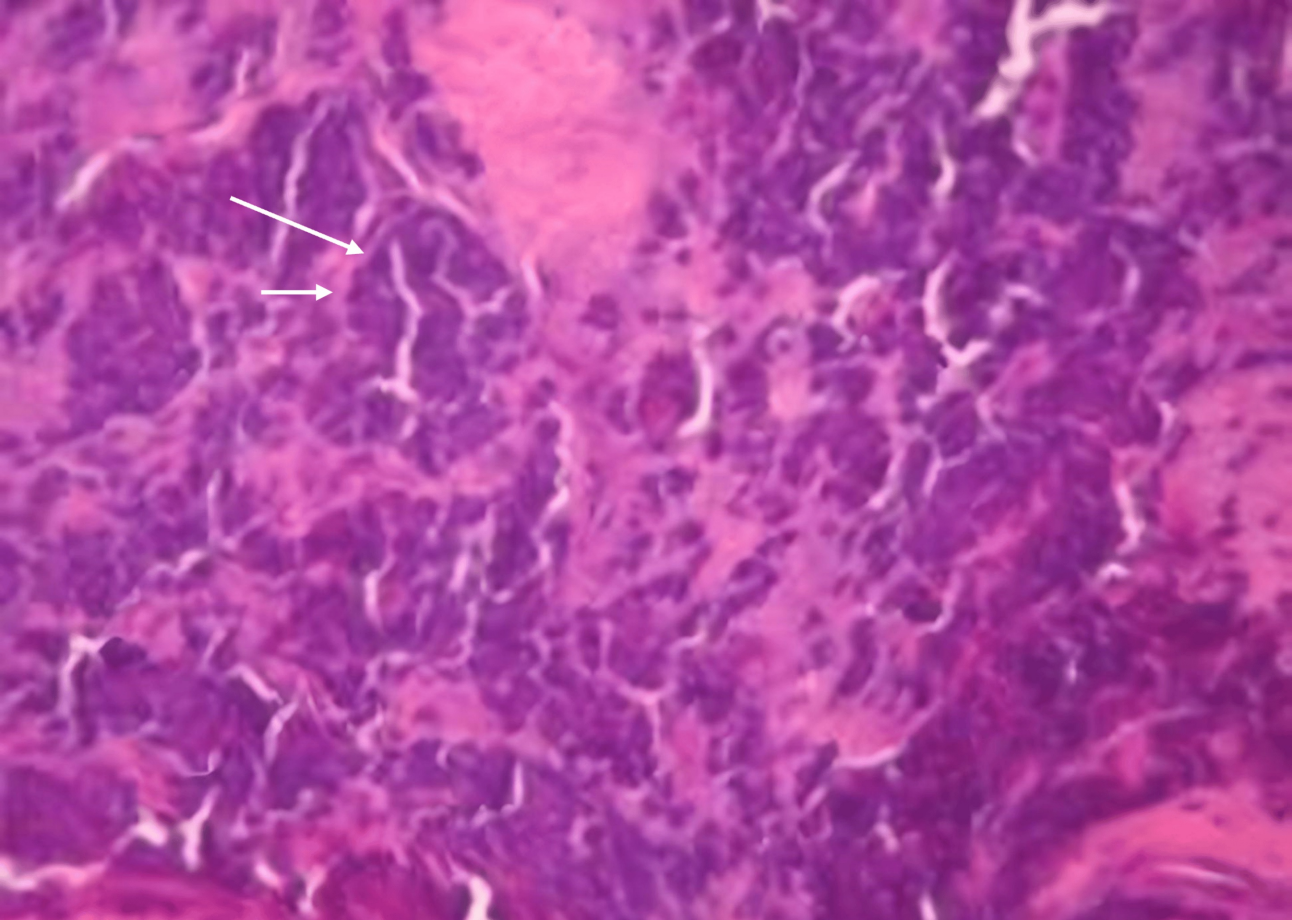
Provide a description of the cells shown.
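This is a tumor made of small, round cells packed in dense sheets and nests. The cells have dark purple, hyperchromatic nuclei and hardly any cytoplasm. The nests are separated by bands and patches of pink fibrous stroma.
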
